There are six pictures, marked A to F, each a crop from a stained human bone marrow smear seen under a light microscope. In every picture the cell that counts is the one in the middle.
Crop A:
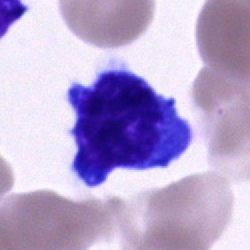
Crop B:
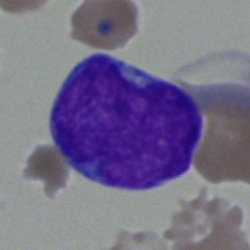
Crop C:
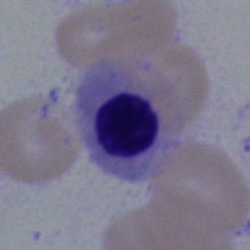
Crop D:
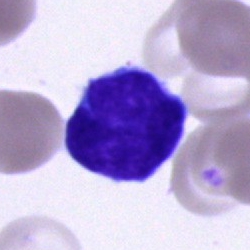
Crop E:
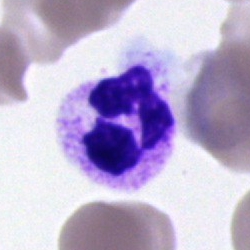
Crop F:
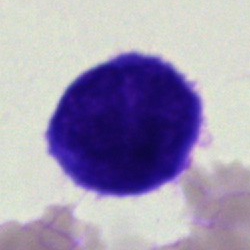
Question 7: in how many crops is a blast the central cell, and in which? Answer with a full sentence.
Showing blasts are crops A, B and F, which amount to three.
